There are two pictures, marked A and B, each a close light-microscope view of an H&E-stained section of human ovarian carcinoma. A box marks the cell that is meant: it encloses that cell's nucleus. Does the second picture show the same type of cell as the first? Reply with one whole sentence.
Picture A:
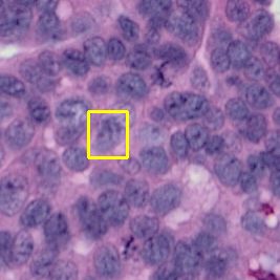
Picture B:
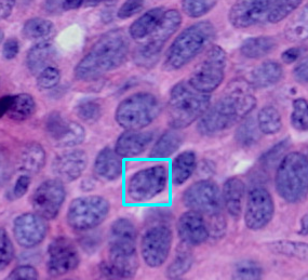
Yes, both cells are carcinoma cells.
